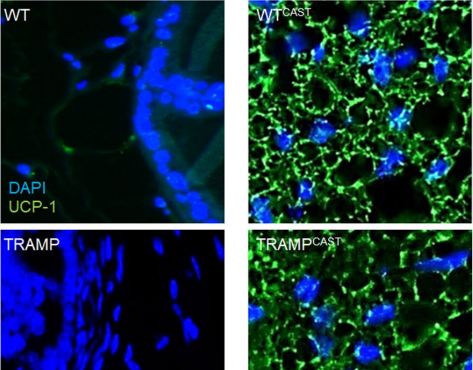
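In the other two fields a dense green meshwork fills the field, outlining many small rounded compartments. Round to oval blue nuclei lie among the meshwork, surrounded by the green. The cells appear small and multilocular rather than holding a single large droplet.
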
